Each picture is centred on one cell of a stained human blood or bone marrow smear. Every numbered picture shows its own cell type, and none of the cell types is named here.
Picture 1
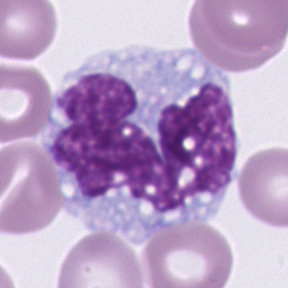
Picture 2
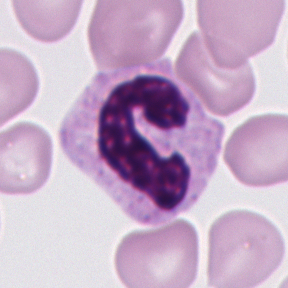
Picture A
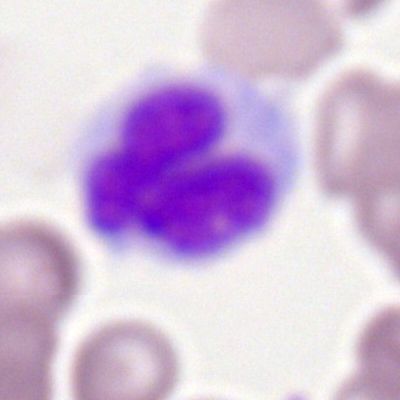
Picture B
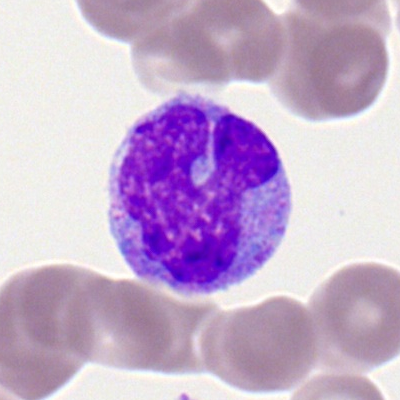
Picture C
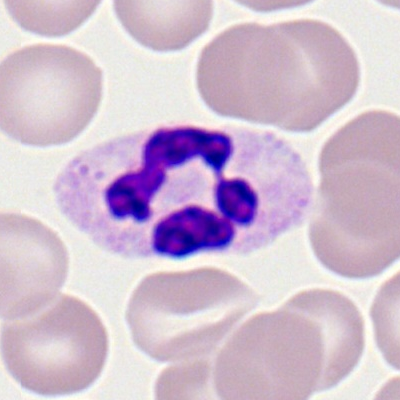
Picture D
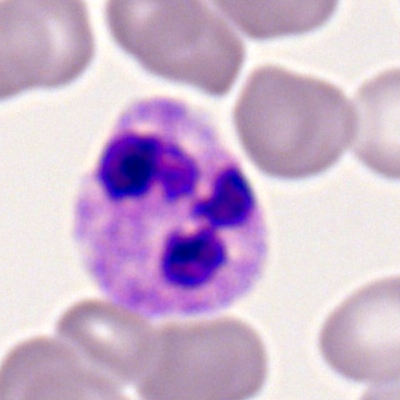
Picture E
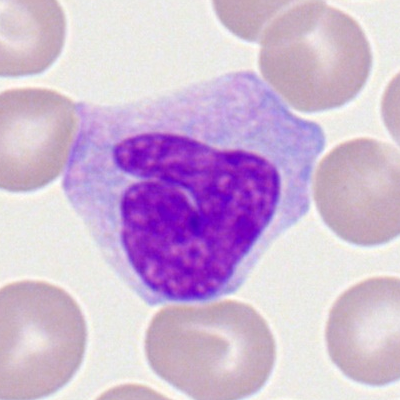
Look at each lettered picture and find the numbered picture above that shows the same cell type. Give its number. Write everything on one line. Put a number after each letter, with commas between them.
A 1, B 1, C 2, D 2, E 1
